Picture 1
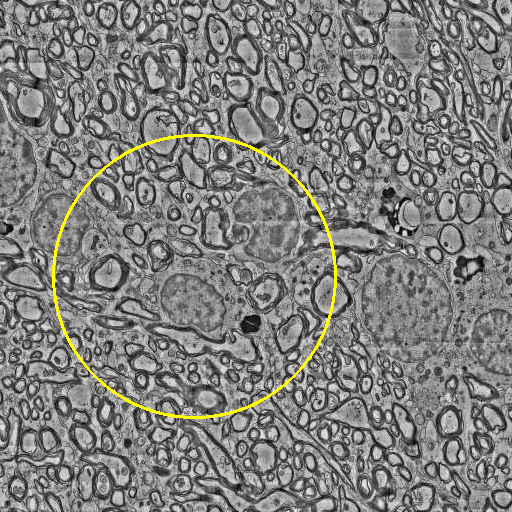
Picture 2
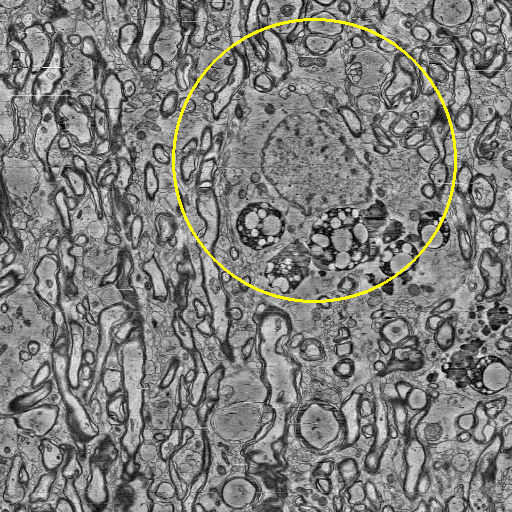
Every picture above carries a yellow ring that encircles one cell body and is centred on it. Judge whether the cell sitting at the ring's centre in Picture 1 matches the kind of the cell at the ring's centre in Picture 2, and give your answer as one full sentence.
No, the cells centred in the rings of Pictures 1 and 2 belong to two kinds.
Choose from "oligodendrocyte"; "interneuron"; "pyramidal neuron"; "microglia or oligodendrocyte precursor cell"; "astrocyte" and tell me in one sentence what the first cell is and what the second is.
What the first ring is centred on is an oligodendrocyte; what the second ring is centred on is an astrocyte.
